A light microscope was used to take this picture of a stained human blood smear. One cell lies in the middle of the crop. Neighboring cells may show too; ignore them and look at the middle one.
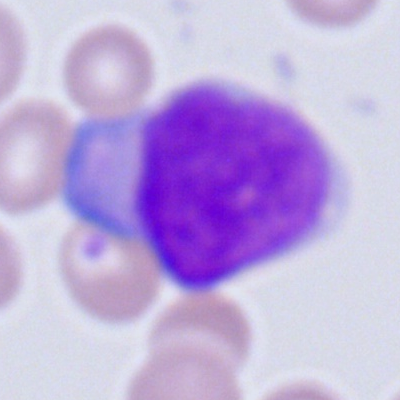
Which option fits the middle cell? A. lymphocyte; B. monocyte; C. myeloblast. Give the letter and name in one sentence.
Option C is correct, and the cell in the centre is a myeloblast.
